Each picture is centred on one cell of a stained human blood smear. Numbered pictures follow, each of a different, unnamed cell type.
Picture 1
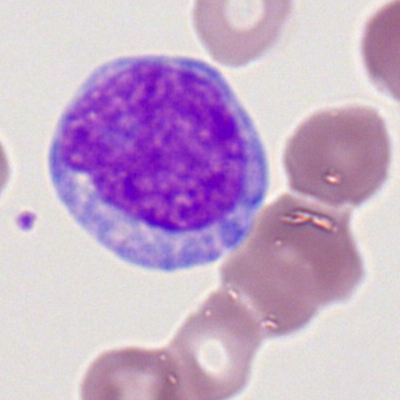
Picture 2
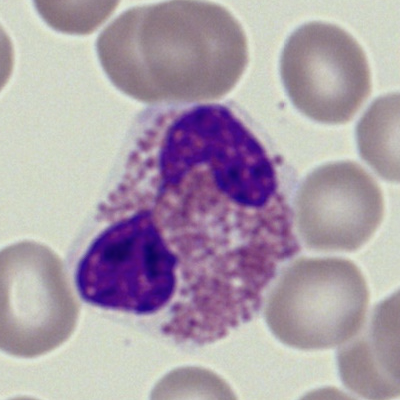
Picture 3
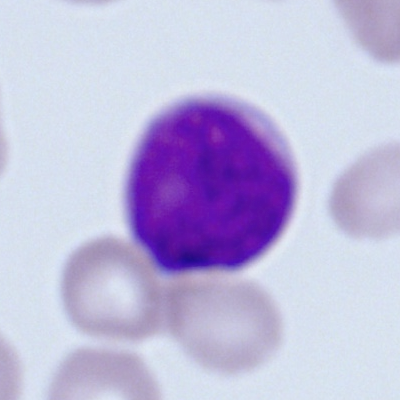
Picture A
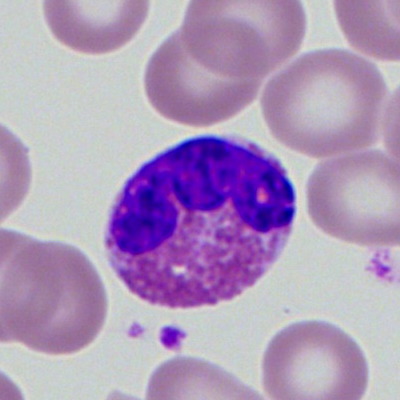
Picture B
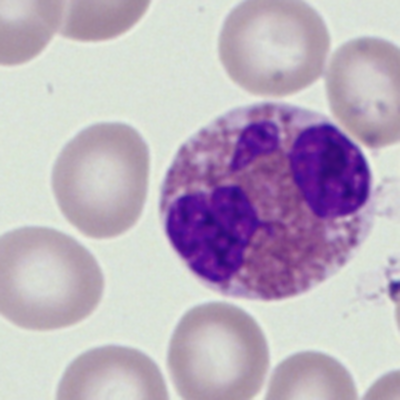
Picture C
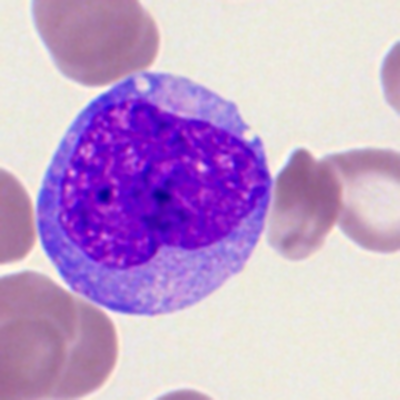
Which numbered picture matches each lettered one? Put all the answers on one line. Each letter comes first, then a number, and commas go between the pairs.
A 2, B 2, C 1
